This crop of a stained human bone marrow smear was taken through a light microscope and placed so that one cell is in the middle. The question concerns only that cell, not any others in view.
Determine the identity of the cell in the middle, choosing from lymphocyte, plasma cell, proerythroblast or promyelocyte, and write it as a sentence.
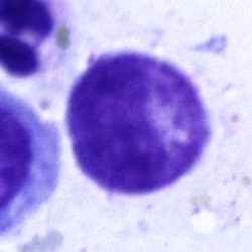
The cell in the exact centre of the crop is a promyelocyte.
